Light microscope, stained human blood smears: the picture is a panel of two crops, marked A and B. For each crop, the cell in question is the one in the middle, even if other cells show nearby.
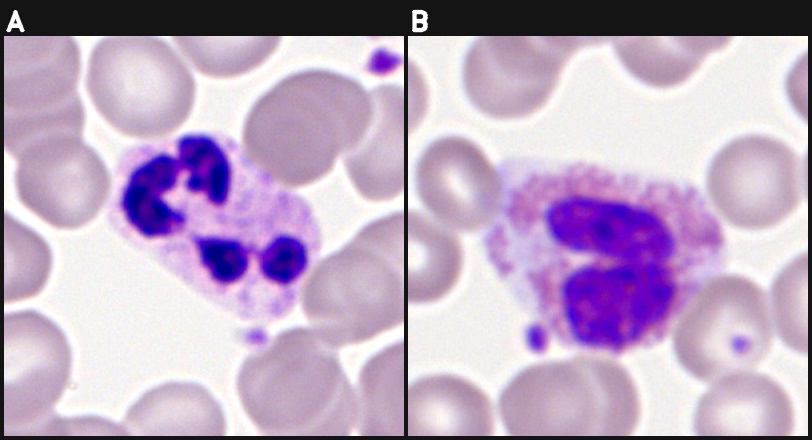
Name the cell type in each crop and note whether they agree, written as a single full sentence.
No, a segmented neutrophil is in crop A, and an eosinophil is in crop B.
